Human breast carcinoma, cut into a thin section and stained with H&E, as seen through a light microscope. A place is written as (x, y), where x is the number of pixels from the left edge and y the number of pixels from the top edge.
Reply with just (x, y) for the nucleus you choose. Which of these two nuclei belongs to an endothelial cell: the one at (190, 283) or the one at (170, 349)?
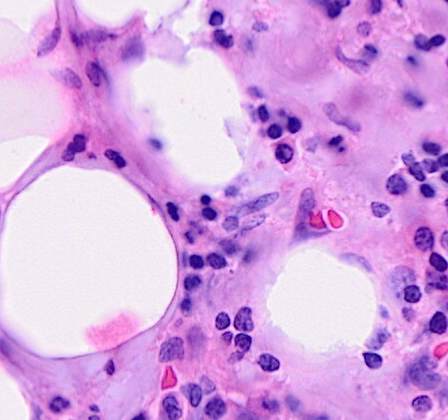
(170, 349)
